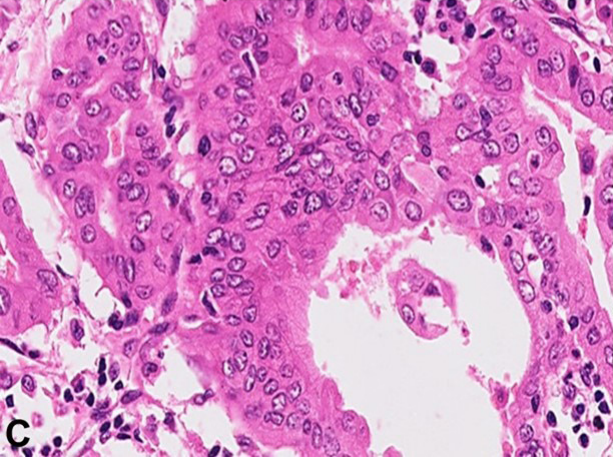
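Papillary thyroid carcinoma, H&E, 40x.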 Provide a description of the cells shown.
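The cells have abundant pink cytoplasm and enlarged oval nuclei that crowd and overlap one another. The chromatin in many nuclei is pale and cleared, giving an empty look, and some nuclei show longitudinal grooves. Small dark nuclei of stromal and inflammatory cells lie between the epithelial groups.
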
